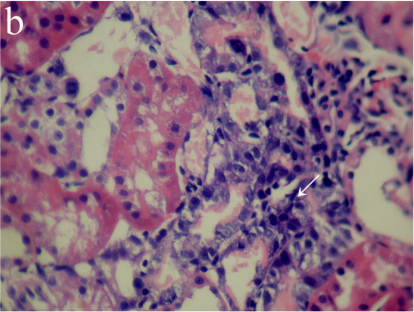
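Renal cortex with tubules lined by epithelial cells with pink cytoplasm and round nuclei. Between the tubules lies a dense cluster of small cells with dark round nuclei, crowding the interstitium.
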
